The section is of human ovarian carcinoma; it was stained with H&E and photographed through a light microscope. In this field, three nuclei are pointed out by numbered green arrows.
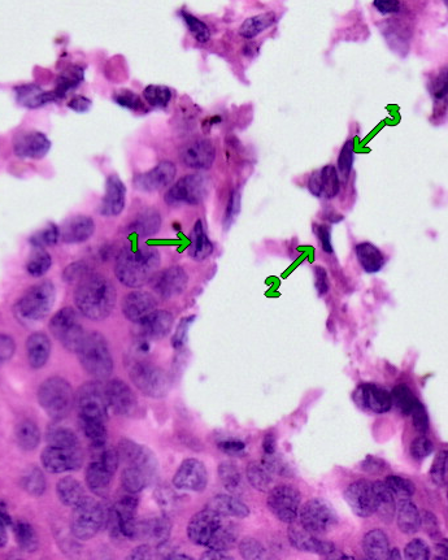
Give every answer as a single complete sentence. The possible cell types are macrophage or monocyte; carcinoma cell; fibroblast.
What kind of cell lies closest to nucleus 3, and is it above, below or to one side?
It is a carcinoma cell, whose nucleus lies below and to the left of nucleus 3.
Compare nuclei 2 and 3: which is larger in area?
Nucleus 3 is larger, with an area about 2 times that of nucleus 2.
